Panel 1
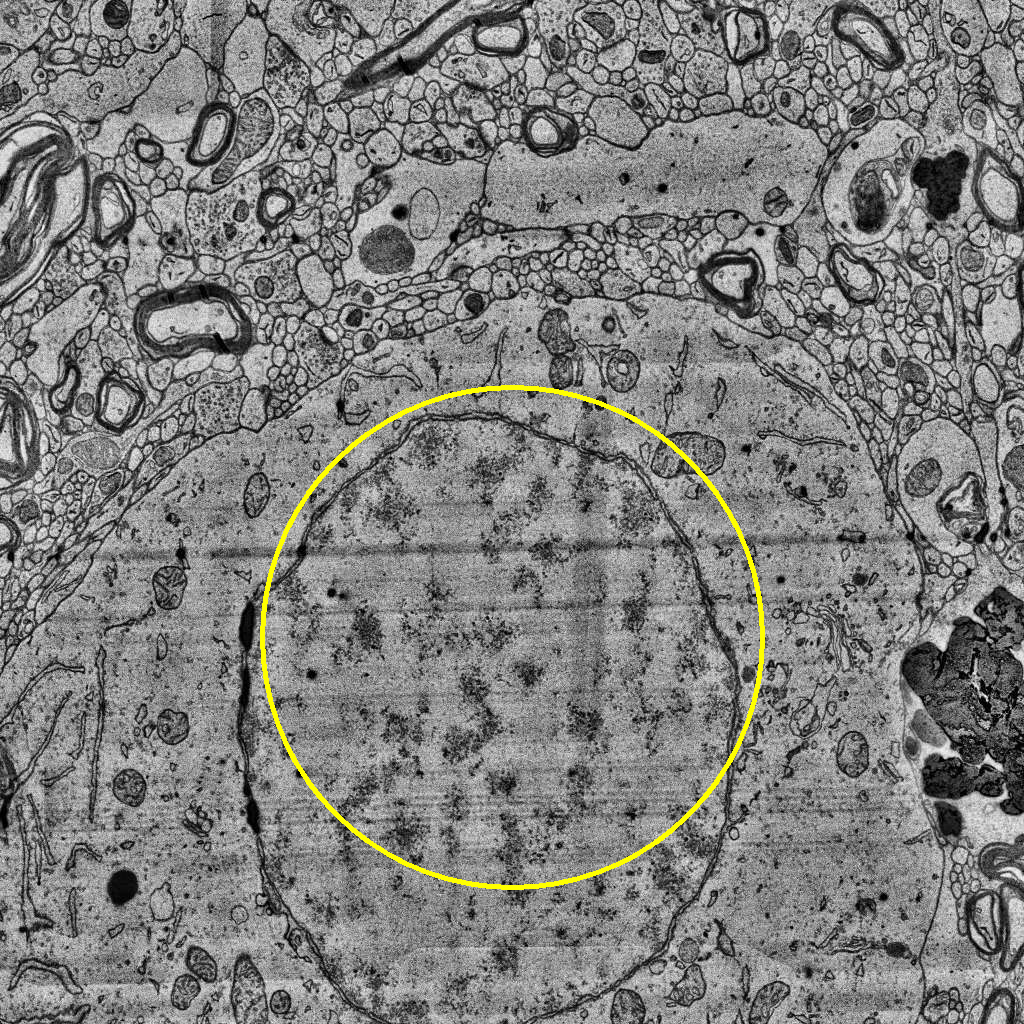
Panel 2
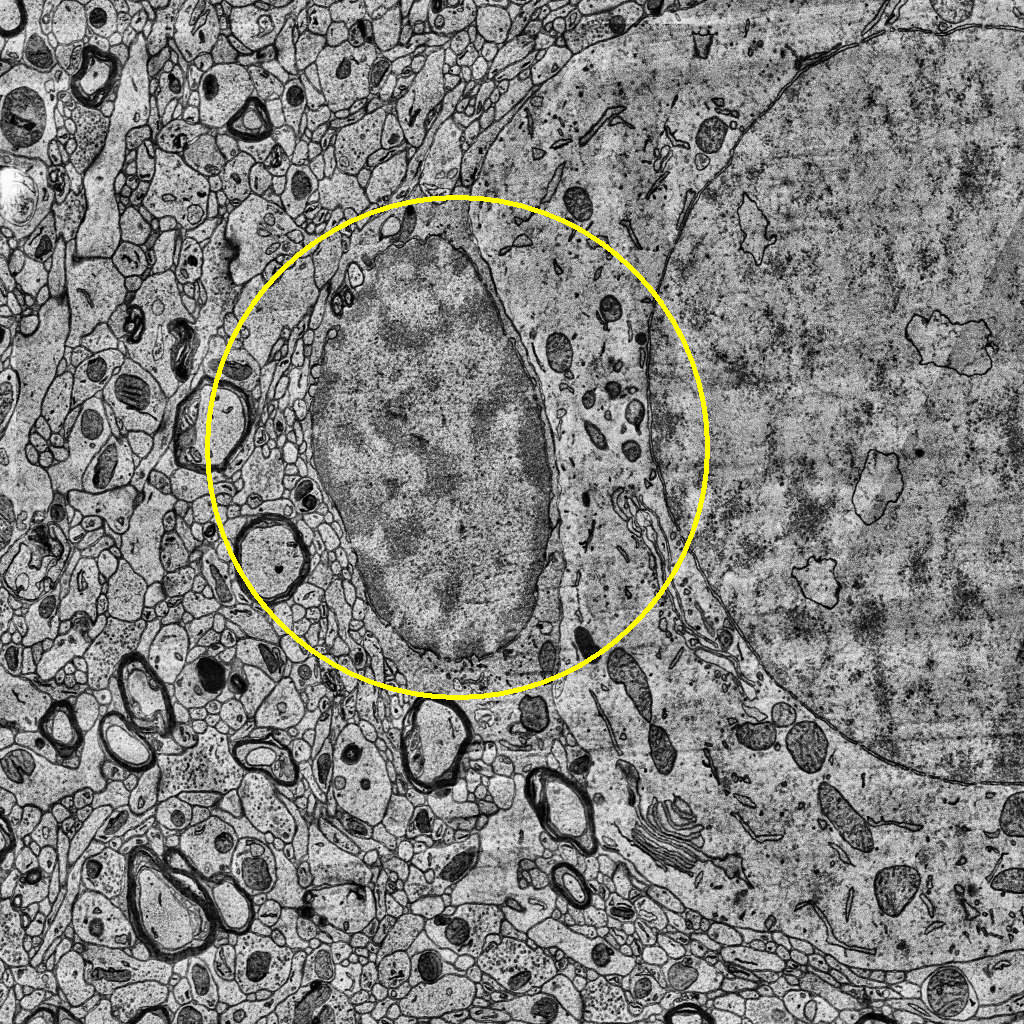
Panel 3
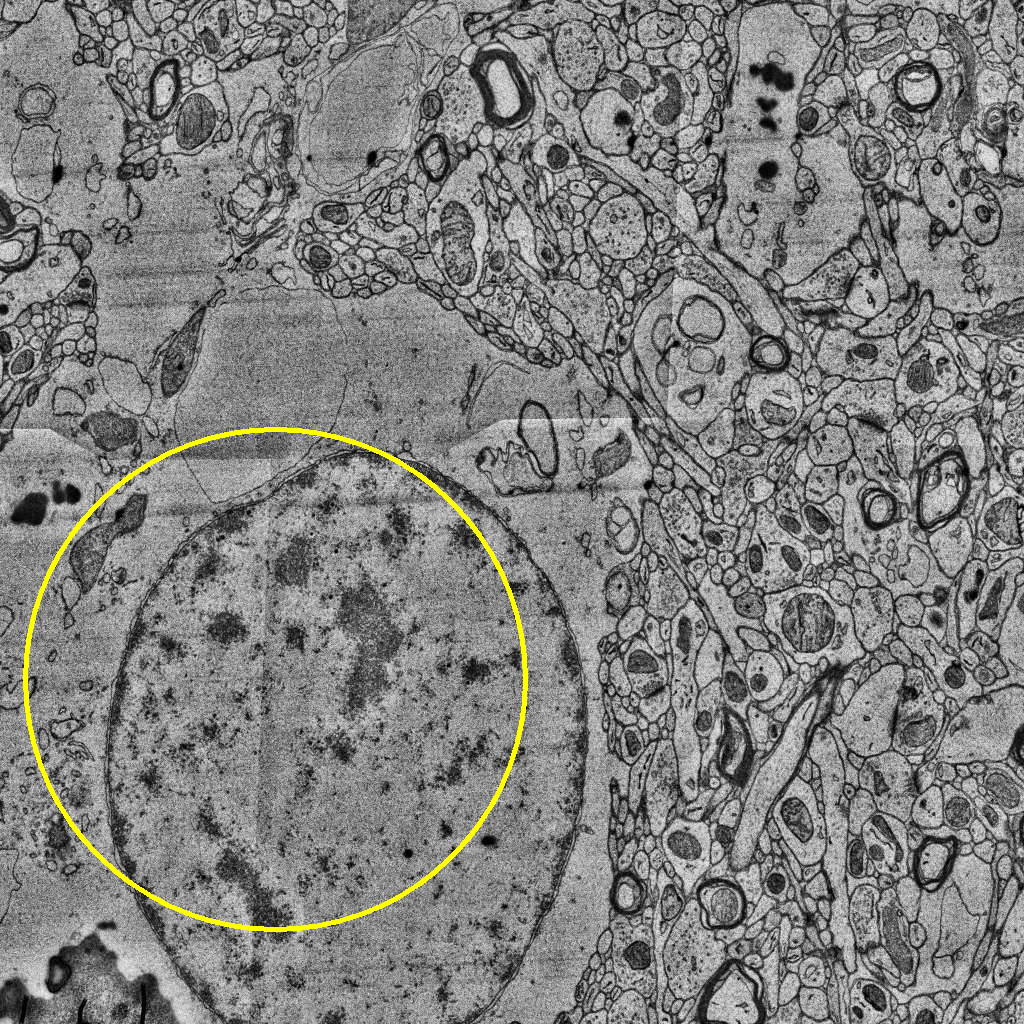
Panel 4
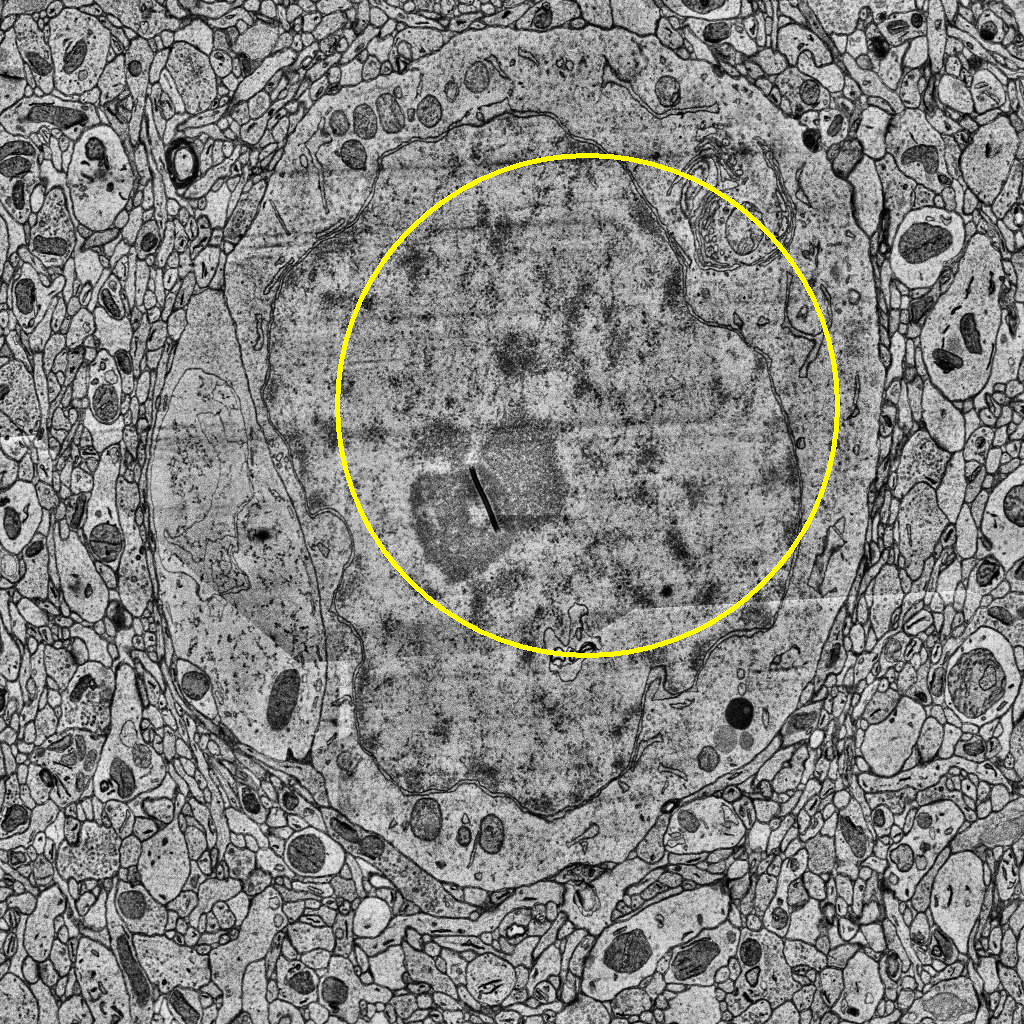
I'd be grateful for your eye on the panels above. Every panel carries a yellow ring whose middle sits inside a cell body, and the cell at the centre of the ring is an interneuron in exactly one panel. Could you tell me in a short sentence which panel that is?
Panel 4 is the one with it at the centre of the ring.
